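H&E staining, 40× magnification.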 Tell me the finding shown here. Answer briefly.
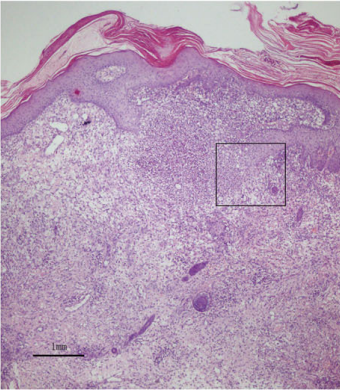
Diffuse and dense infiltration in the dermis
